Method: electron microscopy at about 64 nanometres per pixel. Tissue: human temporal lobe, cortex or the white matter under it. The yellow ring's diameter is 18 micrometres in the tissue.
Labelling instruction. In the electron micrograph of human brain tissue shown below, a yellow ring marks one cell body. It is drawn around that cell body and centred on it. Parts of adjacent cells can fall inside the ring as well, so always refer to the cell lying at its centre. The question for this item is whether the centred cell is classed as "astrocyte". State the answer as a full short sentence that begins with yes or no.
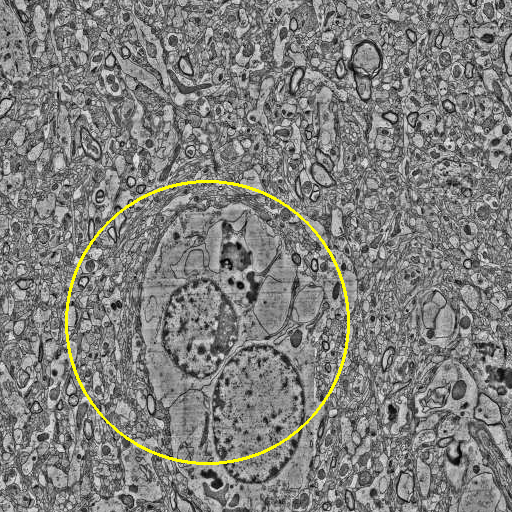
Yes, the centred cell is of that class.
